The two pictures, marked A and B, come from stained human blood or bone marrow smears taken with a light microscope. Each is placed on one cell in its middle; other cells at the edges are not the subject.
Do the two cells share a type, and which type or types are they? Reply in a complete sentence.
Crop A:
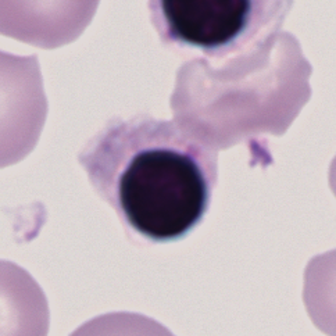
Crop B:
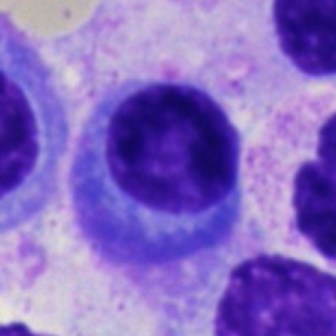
No, crop A shows a normoblast, whereas a plasma cell is what crop B shows.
